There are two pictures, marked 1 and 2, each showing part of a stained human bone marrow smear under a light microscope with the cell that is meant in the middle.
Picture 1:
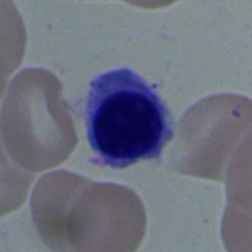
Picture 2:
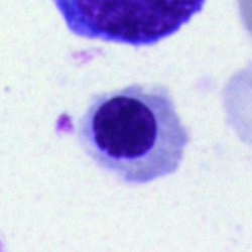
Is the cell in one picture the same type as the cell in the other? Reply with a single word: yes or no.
yes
